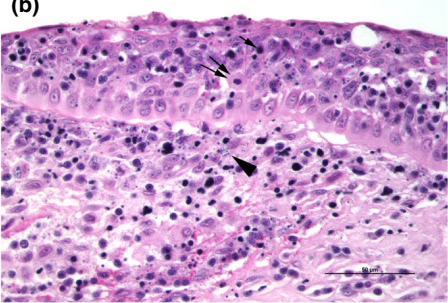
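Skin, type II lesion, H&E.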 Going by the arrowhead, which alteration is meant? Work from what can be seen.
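The arrowhead points to a cell in the layer below the epidermis. Its nuclear material is dark and clumped rather than a single smooth round nucleus. On this evidence: Karyorrhectic cells.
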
